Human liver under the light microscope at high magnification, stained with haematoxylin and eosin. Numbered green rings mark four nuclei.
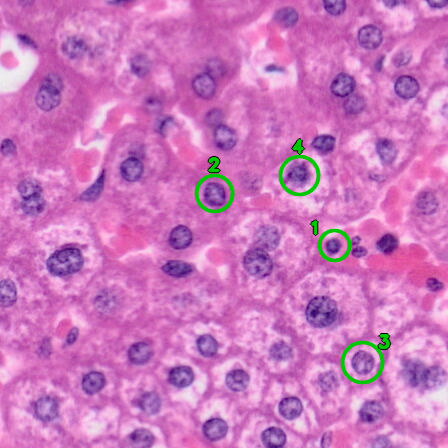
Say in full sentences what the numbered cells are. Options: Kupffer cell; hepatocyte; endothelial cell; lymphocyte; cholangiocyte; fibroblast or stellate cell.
Cell 1 is a lymphocyte, cell 2 is a hepatocyte, cell 3 is a hepatocyte and cell 4 is a hepatocyte.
